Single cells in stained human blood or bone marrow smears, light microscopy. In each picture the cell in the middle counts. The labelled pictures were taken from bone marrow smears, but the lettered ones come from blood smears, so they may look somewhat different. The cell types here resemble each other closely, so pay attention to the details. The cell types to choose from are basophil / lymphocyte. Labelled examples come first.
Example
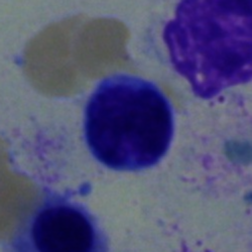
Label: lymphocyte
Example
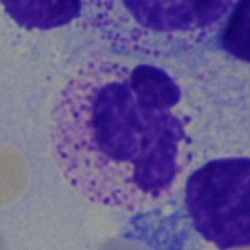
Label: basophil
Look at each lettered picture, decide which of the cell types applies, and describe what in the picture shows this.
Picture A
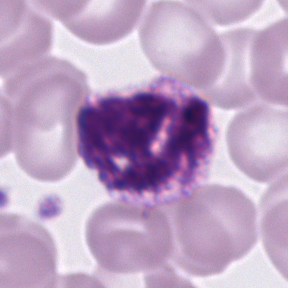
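basophil. Evidence: Coarse dark purple granules crowd over the middle of the cell.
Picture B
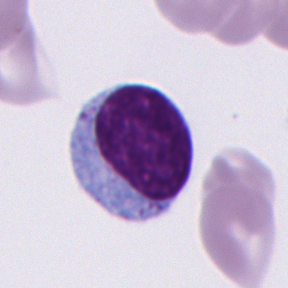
lymphocyte. Evidence: A few fine purple granules are scattered in the cytoplasm.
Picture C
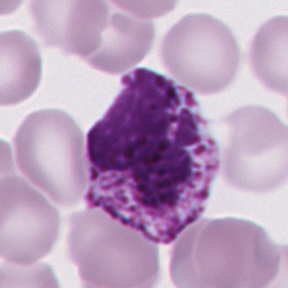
basophil. Evidence: Coarse dark purple granules are scattered through the cytoplasm.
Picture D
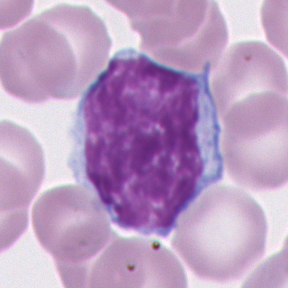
lymphocyte. Evidence: The nucleus is a single unlobed mass filling most of the cell.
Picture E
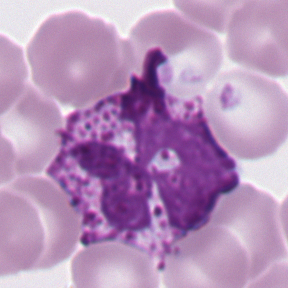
basophil. Evidence: The nucleus is divided into at least two large lobes.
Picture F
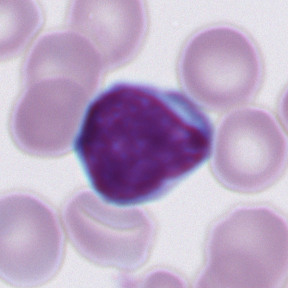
lymphocyte. Evidence: The nucleus is a single unlobed mass.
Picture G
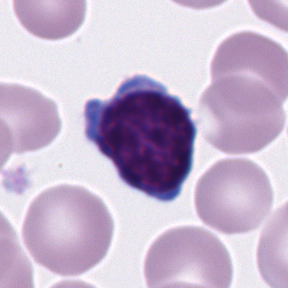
lymphocyte. Evidence: The nucleus is a single unlobed mass that fills most of the cell.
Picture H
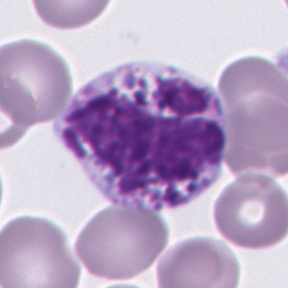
basophil. Evidence: The nucleus has an irregular, lobed outline.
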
